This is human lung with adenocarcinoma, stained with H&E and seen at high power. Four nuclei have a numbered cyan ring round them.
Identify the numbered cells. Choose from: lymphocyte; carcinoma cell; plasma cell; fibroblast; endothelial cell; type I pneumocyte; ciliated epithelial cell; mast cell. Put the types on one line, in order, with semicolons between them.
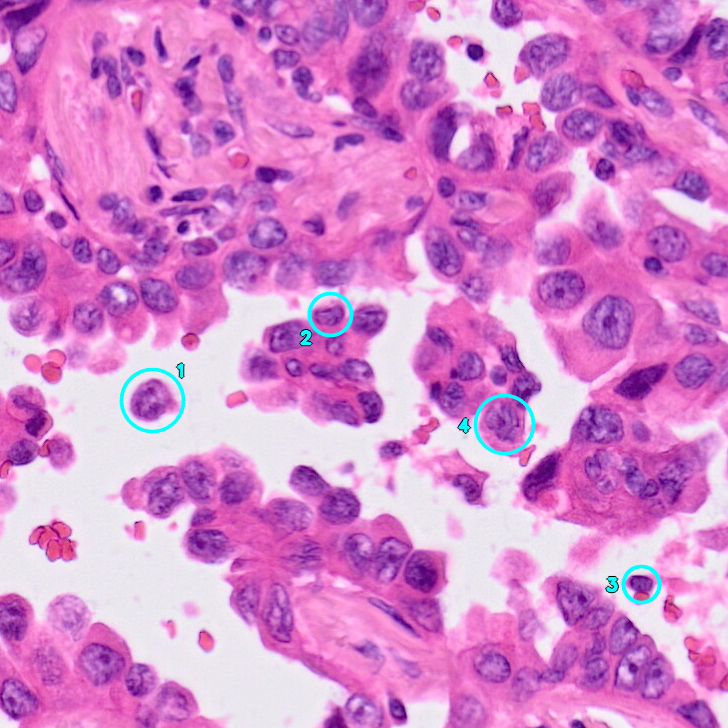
carcinoma cell; carcinoma cell; lymphocyte; carcinoma cell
